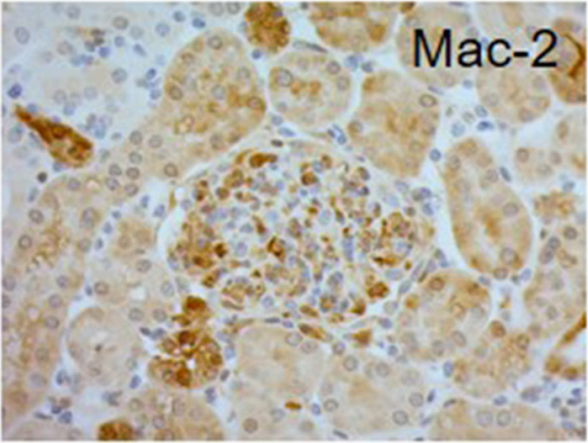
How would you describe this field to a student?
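A glomerulus amid kidney tubules, with many dark brown-stained macrophages packed within the glomerular tuft among blue nuclei. The surrounding tubular epithelium carries only a paler, diffuse brown tint, with a few intensely stained cells in the tubule profiles.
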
